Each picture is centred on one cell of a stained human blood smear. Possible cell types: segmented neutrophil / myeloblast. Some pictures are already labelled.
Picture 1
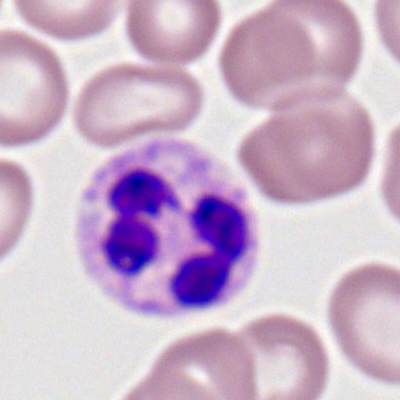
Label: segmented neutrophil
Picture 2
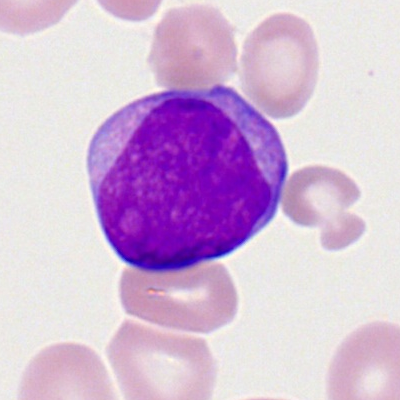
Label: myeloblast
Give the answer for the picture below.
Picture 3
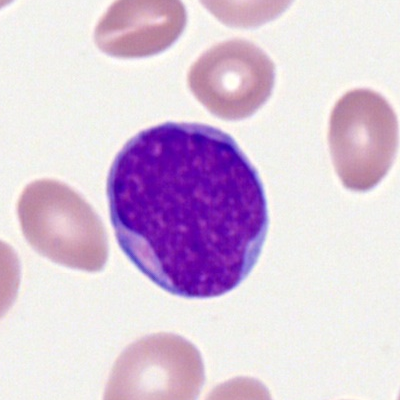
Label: myeloblast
